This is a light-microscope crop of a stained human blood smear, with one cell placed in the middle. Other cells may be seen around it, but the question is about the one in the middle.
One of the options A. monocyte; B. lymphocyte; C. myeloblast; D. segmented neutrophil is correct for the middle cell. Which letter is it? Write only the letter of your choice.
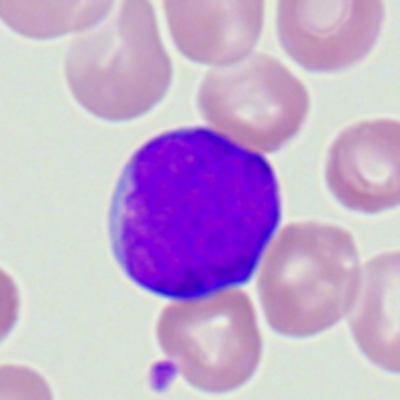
C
